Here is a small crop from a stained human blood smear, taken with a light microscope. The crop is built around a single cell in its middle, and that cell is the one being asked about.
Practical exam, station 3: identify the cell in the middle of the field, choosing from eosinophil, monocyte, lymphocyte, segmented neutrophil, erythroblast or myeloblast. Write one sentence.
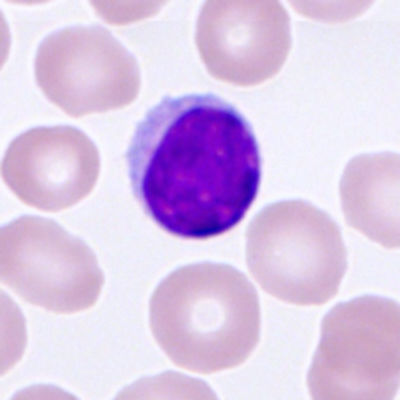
The central cell in this smear crop is a lymphocyte.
